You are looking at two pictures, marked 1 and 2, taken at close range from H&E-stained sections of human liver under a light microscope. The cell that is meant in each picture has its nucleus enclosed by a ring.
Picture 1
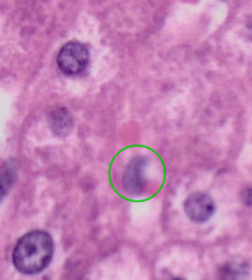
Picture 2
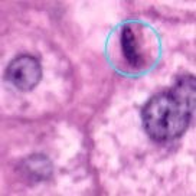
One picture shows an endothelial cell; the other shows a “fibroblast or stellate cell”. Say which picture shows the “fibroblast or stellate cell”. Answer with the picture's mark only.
2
